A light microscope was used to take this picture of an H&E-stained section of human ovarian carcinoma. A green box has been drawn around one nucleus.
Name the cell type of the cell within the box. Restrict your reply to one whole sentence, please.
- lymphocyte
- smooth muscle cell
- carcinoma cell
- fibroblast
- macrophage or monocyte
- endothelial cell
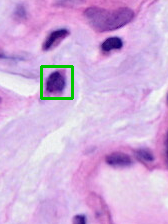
In the stained section, the cell within the box is a lymphocyte.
